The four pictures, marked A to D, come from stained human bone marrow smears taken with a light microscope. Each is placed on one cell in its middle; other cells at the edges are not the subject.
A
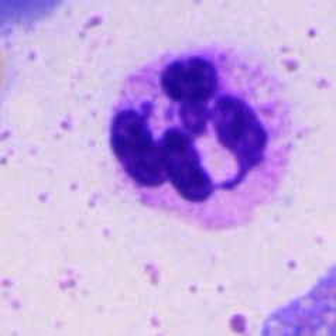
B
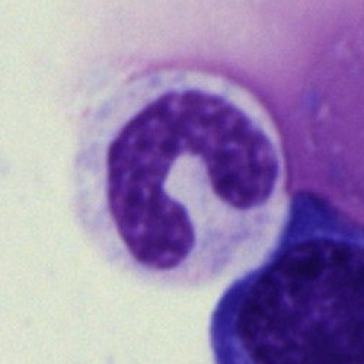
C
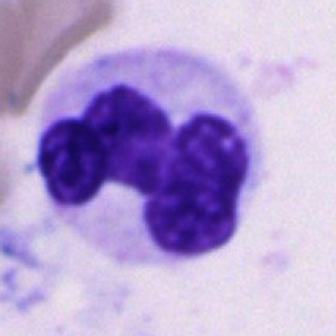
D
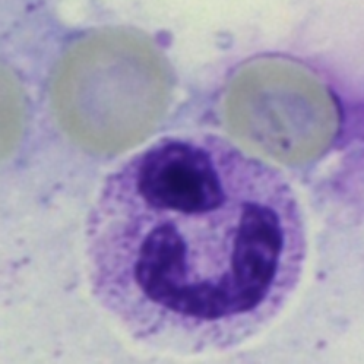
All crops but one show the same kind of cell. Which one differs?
B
